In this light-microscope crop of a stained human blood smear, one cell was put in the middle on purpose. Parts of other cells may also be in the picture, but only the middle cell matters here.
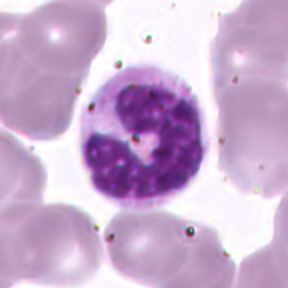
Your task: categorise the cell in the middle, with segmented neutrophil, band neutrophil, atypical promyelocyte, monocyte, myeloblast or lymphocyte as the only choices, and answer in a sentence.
The crop centres on a single cell, and that cell is a band neutrophil.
